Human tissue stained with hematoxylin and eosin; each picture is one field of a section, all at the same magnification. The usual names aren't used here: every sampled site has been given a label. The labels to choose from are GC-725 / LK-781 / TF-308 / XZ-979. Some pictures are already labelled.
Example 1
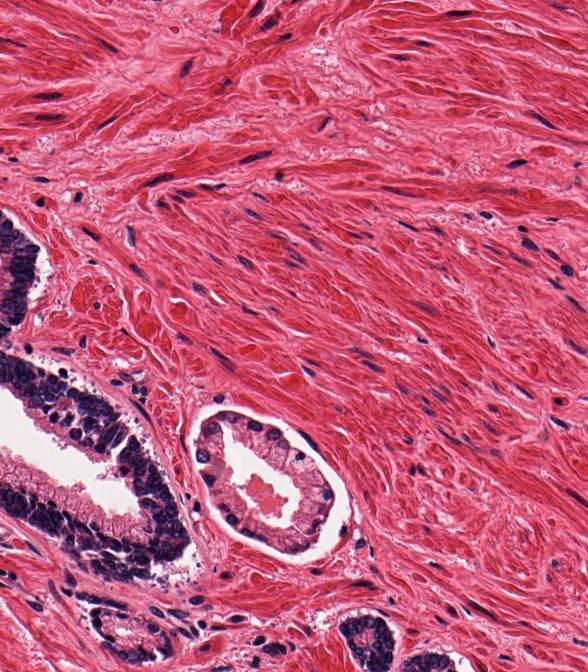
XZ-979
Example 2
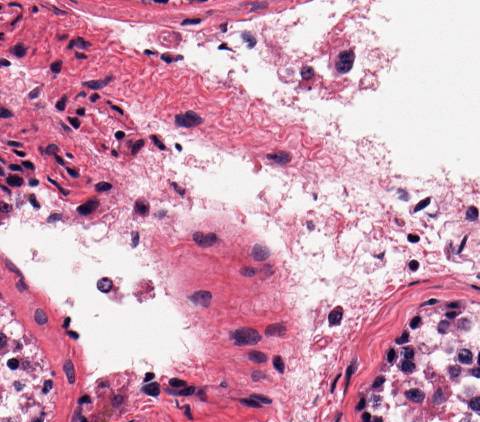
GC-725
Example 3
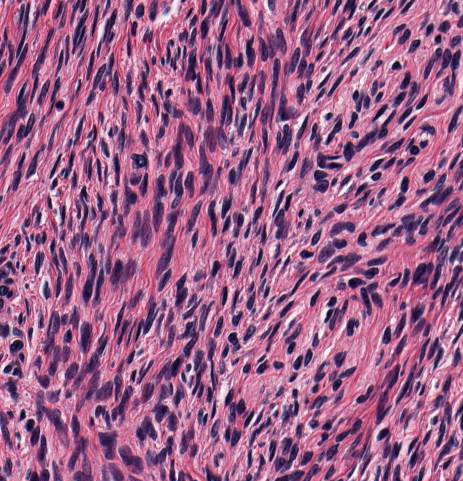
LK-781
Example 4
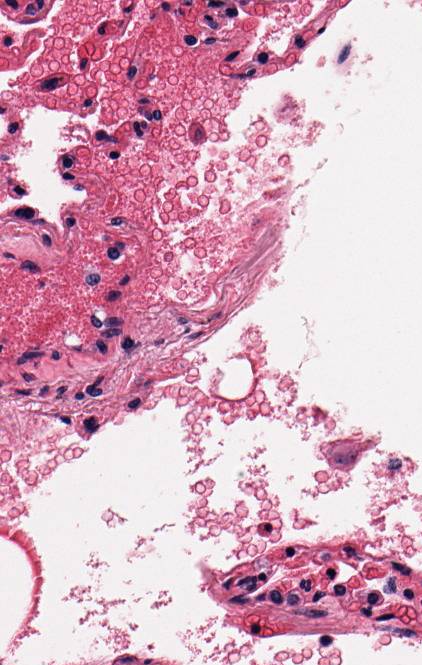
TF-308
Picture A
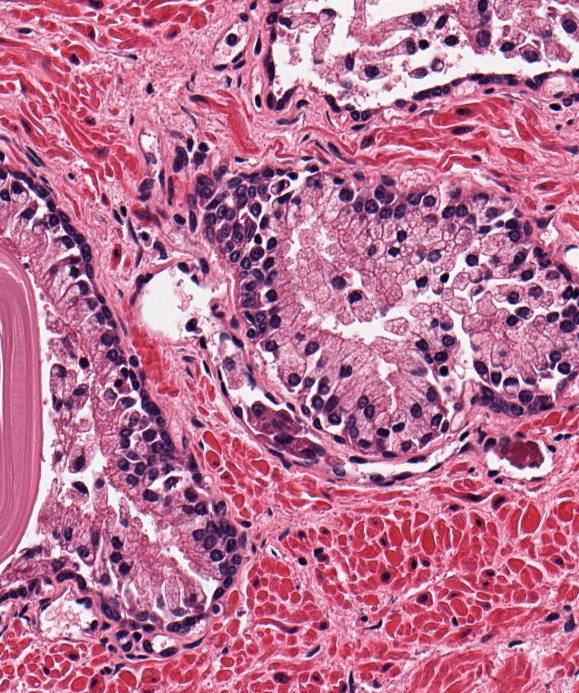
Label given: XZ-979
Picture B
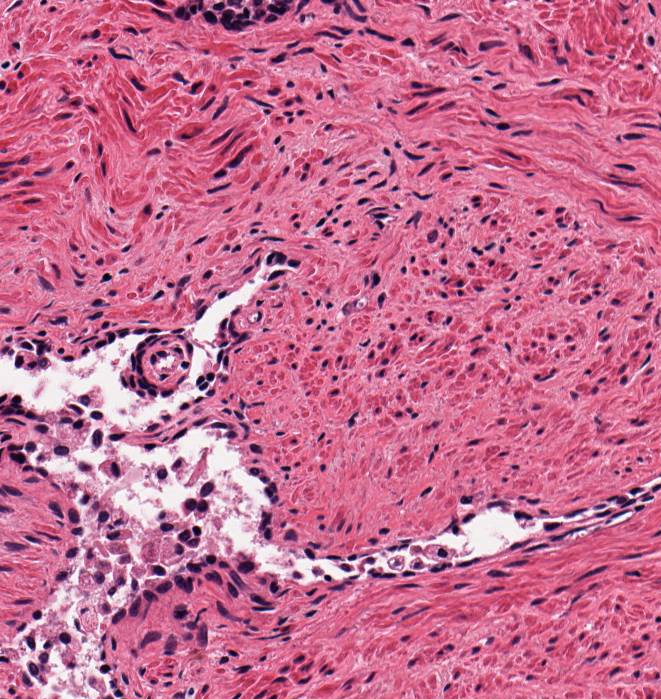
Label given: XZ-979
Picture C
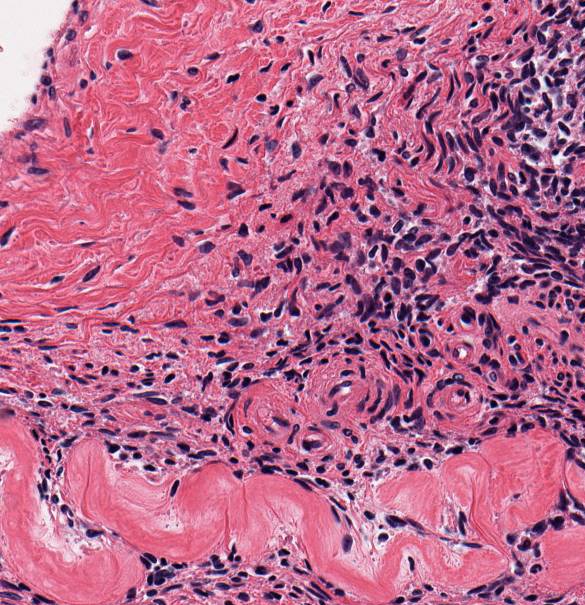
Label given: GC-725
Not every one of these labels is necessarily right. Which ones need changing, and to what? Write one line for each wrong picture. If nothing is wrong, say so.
Wrong: C (GC-725); correct: LK-781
